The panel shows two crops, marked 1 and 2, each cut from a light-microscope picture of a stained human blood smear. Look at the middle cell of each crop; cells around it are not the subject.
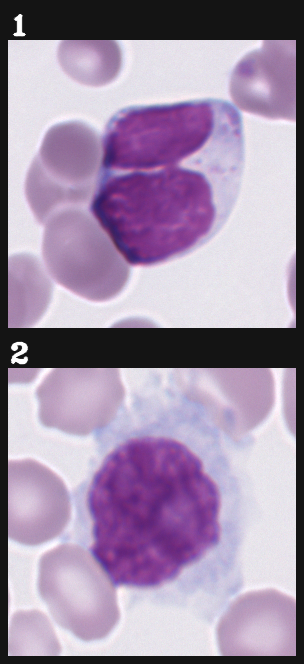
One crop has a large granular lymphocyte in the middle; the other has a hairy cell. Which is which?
1: large granular lymphocyte
2: hairy cell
